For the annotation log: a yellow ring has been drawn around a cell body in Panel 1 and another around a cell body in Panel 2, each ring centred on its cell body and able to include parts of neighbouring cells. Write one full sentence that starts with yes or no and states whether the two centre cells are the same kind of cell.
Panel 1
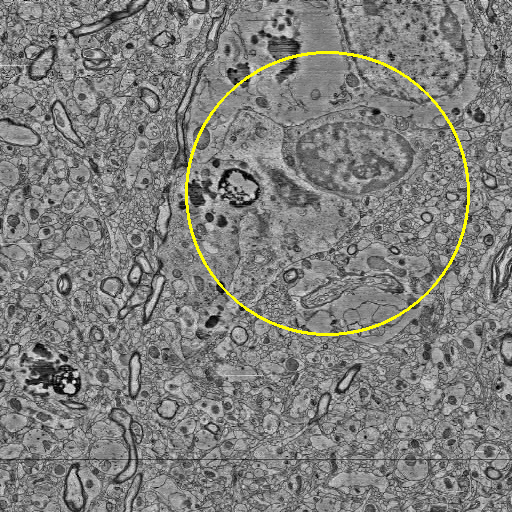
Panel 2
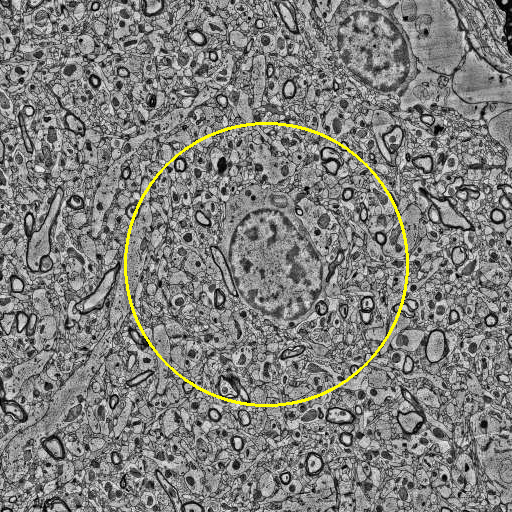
Yes, the two centre cells are the same kind of cell.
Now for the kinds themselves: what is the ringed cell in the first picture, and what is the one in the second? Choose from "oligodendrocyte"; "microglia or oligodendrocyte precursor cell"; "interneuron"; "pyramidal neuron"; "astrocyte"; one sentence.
In both pictures the ring is centred on an oligodendrocyte.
